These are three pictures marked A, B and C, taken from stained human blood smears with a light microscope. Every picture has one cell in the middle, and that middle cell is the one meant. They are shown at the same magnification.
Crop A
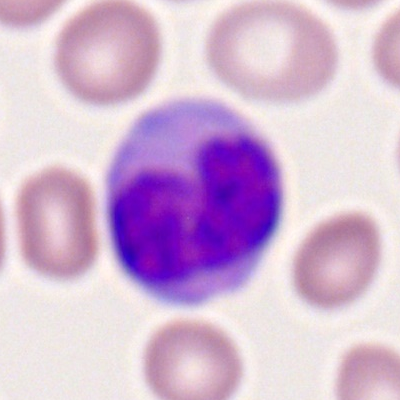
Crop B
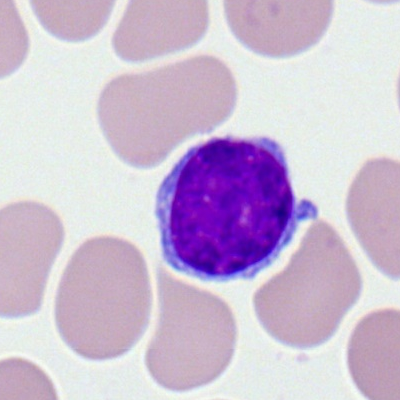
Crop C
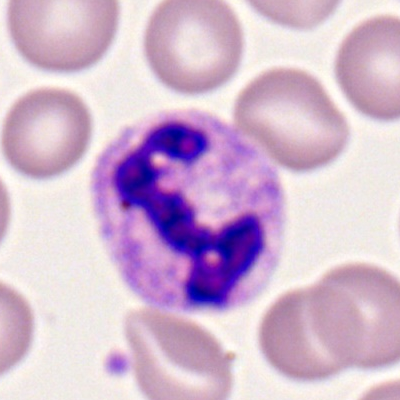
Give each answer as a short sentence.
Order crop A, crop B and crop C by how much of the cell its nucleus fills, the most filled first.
They run B, A, C, the most filled first.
